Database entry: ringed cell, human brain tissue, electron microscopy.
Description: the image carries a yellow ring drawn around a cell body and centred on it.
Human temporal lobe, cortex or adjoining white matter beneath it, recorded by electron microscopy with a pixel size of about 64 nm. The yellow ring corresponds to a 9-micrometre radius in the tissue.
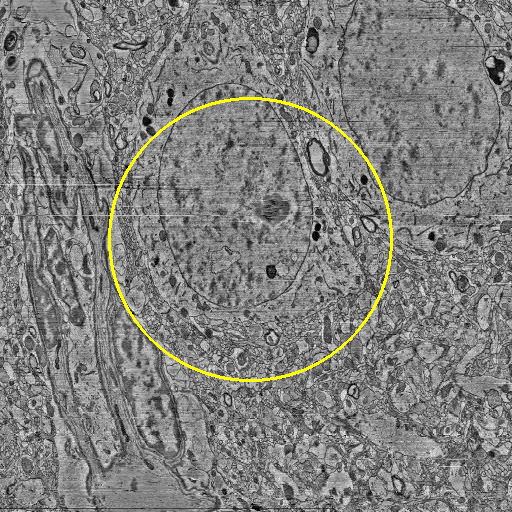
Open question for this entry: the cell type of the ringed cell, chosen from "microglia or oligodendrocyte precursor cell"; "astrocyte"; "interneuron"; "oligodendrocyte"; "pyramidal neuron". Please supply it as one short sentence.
The ringed cell is a pyramidal neuron.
